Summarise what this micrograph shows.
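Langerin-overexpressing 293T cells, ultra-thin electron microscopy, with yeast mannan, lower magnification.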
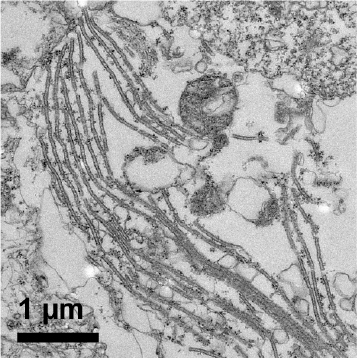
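To the right lies looser cytoplasm with a mitochondrion, small vesicles and irregular membrane profiles, and pale empty areas between them. The granules are much longer than the surrounding organelles and run as a loosely packed bundle.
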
